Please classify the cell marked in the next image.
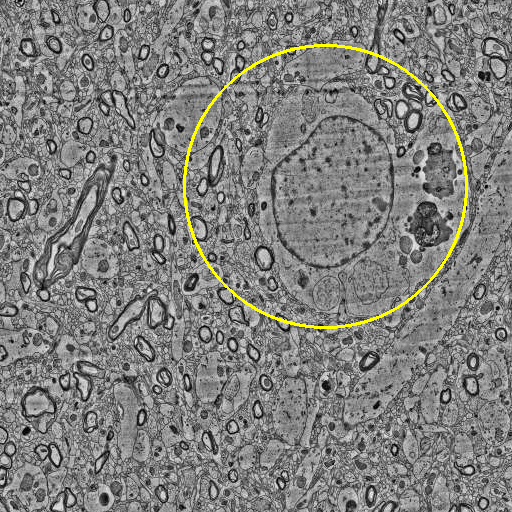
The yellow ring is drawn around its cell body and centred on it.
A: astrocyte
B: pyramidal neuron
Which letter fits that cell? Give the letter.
A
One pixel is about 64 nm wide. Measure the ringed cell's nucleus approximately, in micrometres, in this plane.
The nucleus measures about 10 by 8 micrometres in this plane.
